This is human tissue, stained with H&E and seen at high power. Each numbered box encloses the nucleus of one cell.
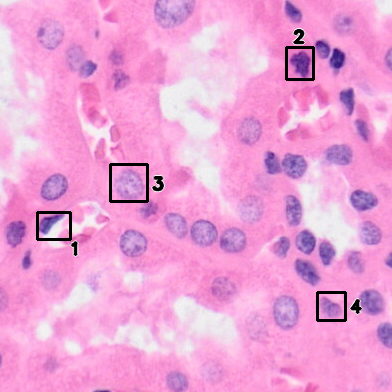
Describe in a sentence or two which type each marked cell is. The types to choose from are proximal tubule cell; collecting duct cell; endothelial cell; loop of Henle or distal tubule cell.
Cell 1 is an endothelial cell. Cells 2 and 3 are proximal tubule cells. Cell 4 is a loop of Henle or distal tubule cell.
